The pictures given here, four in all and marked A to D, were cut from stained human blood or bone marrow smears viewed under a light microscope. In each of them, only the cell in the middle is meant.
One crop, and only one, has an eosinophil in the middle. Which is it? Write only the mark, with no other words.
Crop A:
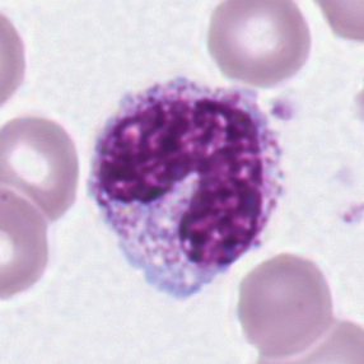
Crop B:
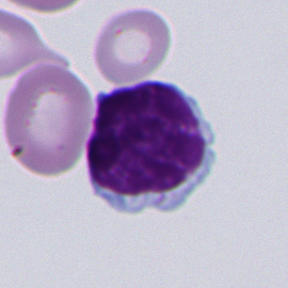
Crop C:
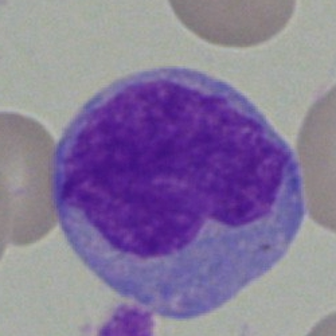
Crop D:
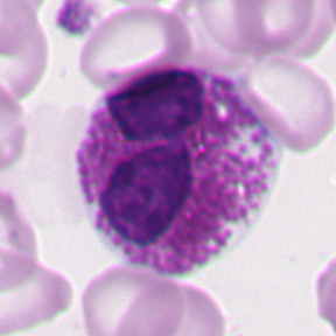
D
